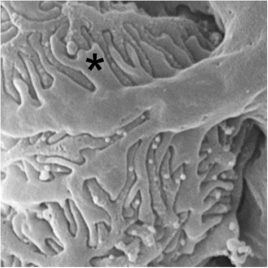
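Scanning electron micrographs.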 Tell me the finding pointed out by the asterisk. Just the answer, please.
Effaced podocyte foot processes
